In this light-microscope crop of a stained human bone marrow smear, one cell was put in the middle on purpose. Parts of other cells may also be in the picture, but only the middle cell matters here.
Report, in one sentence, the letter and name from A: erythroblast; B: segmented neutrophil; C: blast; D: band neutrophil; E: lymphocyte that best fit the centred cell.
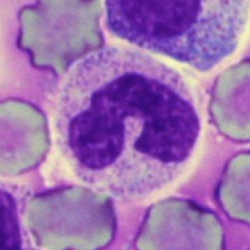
The centrally located cell is a band neutrophil, making option D the correct choice.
